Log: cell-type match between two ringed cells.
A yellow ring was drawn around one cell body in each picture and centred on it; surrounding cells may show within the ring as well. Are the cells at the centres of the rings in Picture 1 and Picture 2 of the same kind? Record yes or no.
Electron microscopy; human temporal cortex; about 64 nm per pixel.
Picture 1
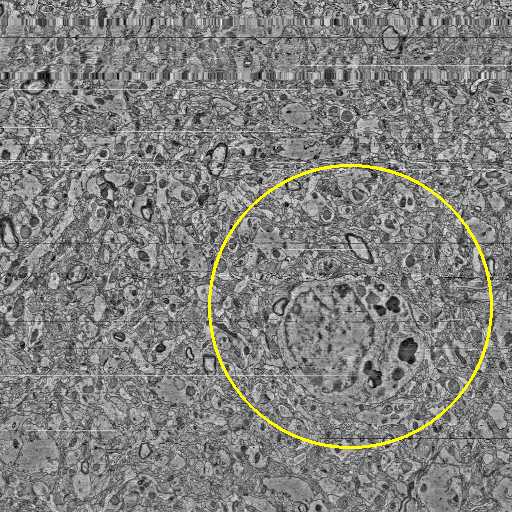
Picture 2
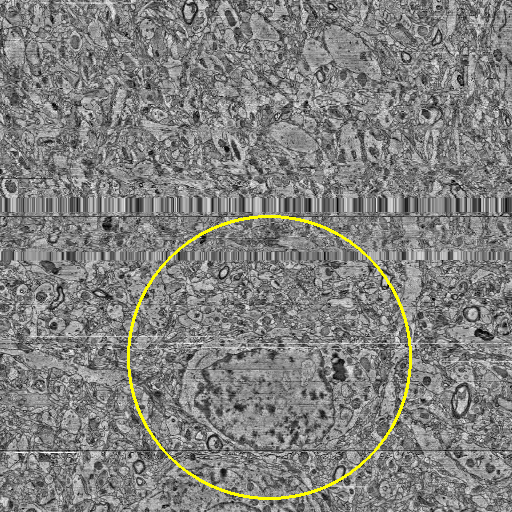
yes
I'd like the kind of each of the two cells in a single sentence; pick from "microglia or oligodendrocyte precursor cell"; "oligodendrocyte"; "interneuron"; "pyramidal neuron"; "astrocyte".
Each cell, in the first picture and the second, is an interneuron.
